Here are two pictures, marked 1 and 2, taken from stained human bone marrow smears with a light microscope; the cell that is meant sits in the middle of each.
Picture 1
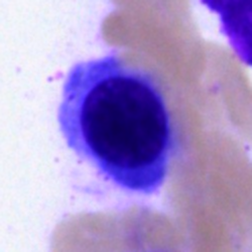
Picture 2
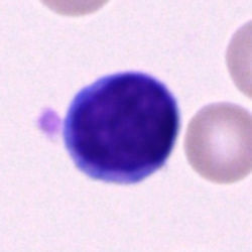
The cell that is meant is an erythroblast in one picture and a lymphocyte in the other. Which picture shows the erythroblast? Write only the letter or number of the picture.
1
